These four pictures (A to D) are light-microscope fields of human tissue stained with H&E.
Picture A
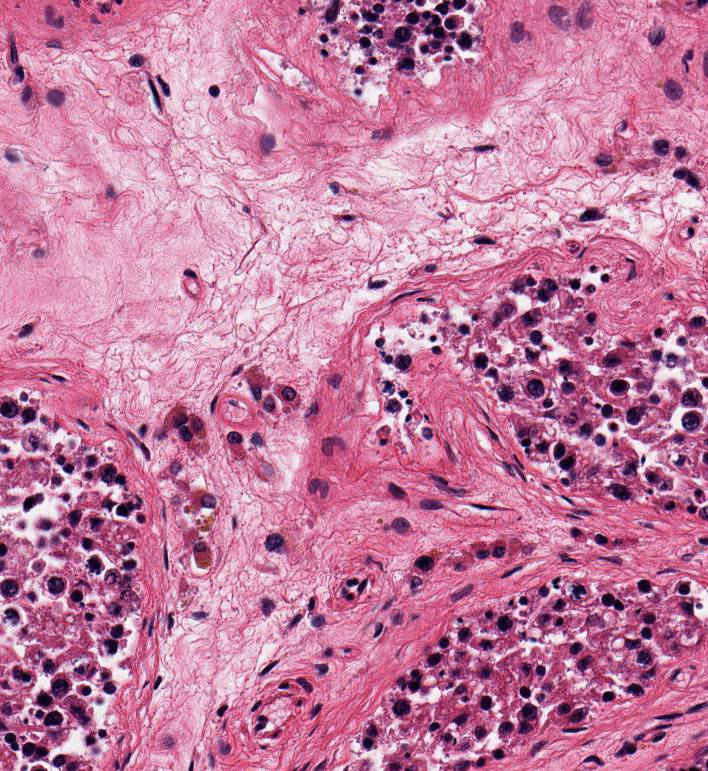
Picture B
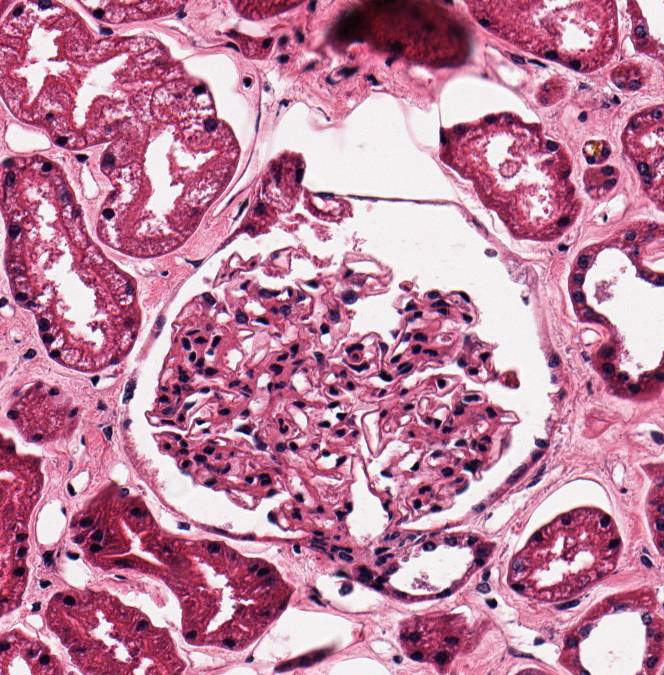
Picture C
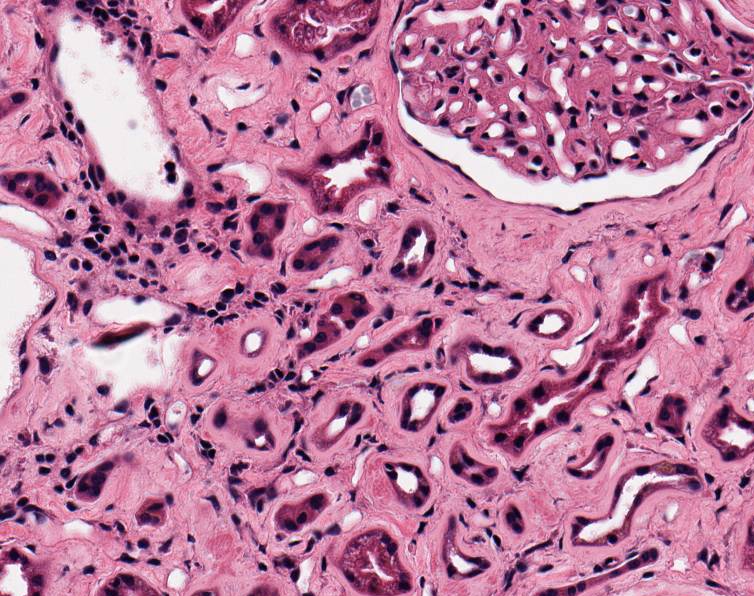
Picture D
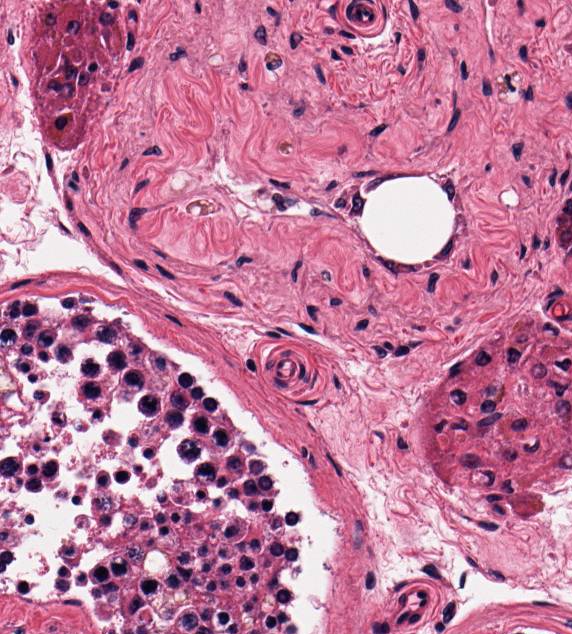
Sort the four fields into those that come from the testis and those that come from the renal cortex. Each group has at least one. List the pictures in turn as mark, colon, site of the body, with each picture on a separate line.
A: testis
B: renal cortex
C: renal cortex
D: testis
